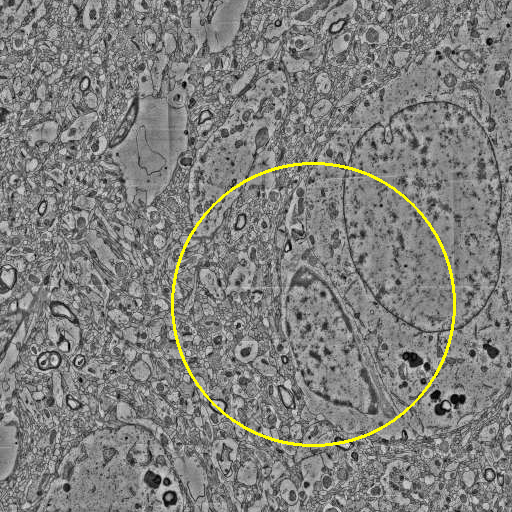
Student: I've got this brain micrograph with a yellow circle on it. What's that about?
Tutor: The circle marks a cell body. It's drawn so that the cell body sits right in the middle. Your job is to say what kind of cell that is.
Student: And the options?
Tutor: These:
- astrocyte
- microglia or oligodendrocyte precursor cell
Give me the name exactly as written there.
microglia or oligodendrocyte precursor cell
